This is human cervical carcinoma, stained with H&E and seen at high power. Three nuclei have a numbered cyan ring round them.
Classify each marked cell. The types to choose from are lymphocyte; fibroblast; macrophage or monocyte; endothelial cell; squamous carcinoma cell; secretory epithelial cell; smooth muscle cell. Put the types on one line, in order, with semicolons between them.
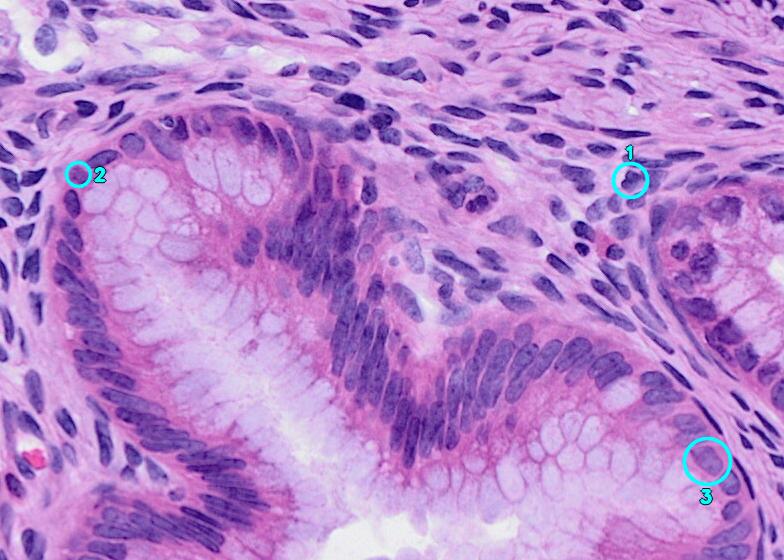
fibroblast; secretory epithelial cell; secretory epithelial cell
